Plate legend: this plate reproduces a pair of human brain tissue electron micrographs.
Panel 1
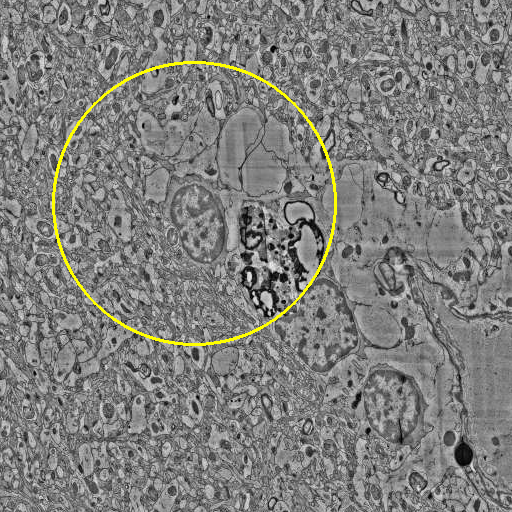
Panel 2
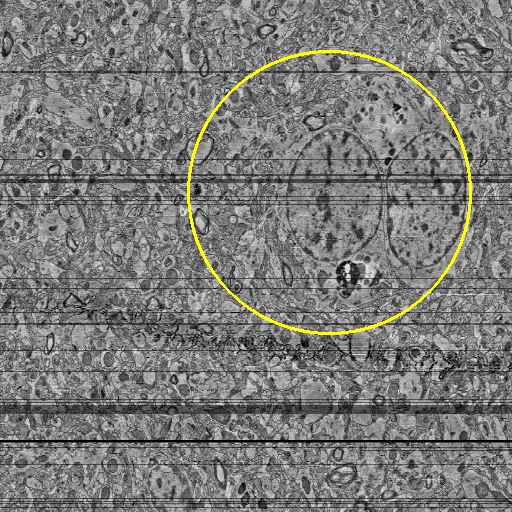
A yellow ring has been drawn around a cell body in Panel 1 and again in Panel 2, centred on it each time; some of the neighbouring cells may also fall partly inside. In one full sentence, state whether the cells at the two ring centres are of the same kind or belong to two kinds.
The ring-centred cells of Panel 1 and Panel 2 belong to two kinds.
